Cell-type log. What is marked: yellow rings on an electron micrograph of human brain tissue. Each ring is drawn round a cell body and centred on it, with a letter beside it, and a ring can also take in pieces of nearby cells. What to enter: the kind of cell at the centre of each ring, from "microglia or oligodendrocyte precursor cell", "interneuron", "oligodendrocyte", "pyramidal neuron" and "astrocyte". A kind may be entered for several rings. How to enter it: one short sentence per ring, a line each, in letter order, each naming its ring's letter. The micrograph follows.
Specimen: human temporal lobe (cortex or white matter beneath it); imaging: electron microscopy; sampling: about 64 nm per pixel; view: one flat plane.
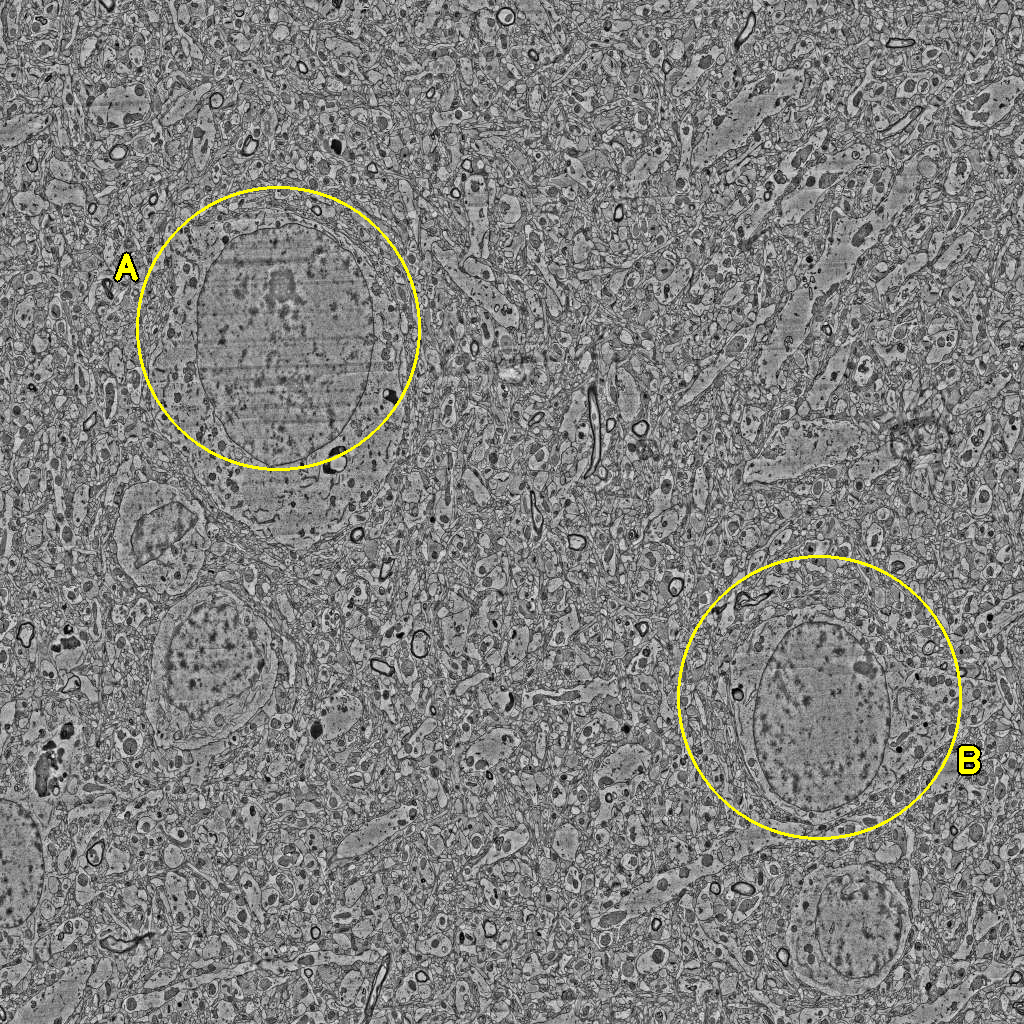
For ring A, the centre cell is a pyramidal neuron.
For ring B, the centre cell is a pyramidal neuron.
